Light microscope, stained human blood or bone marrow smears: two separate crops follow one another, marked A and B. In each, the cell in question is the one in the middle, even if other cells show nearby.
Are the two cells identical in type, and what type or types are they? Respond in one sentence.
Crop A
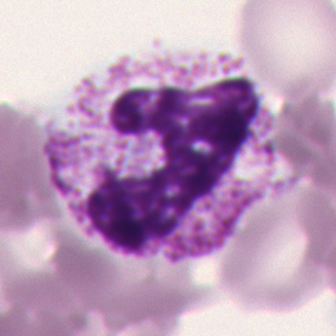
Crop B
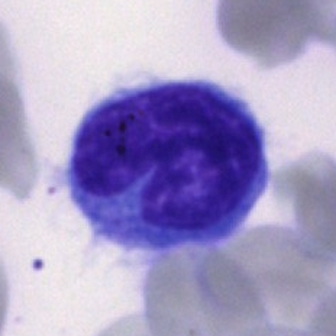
No, crop A holds a segmented neutrophil, and a monocyte occupies crop B.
